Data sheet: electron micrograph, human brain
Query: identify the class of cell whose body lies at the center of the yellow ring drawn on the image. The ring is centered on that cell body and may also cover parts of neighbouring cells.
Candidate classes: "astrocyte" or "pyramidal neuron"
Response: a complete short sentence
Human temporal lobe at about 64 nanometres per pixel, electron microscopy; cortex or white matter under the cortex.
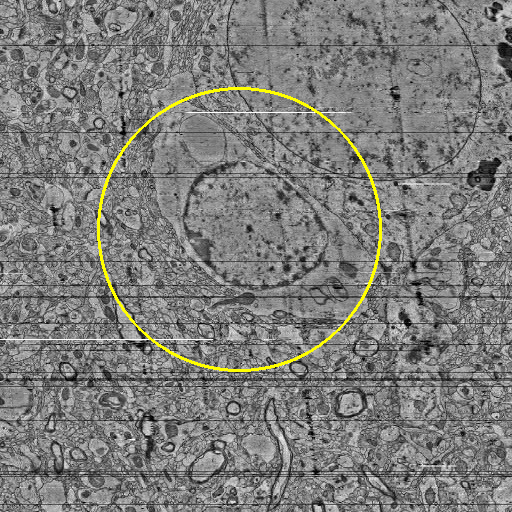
At the center of the ring lies an astrocyte.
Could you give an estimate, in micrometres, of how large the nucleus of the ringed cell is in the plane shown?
The nucleus measures about 10 by 7 micrometres in this plane.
